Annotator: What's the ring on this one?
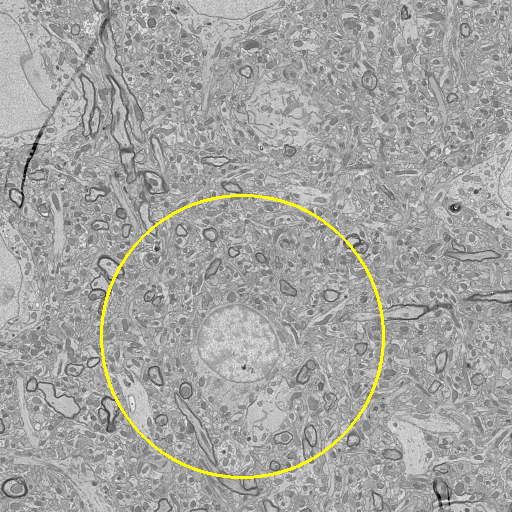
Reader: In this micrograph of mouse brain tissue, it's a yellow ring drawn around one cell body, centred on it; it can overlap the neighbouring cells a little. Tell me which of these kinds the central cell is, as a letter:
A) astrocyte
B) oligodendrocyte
B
